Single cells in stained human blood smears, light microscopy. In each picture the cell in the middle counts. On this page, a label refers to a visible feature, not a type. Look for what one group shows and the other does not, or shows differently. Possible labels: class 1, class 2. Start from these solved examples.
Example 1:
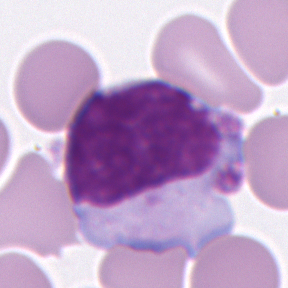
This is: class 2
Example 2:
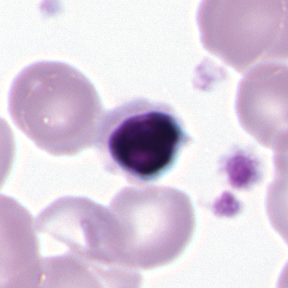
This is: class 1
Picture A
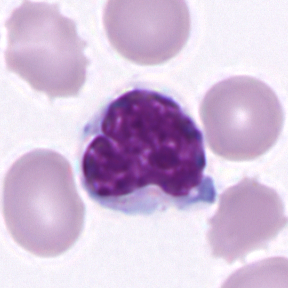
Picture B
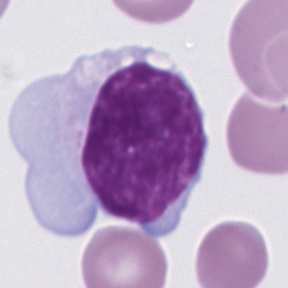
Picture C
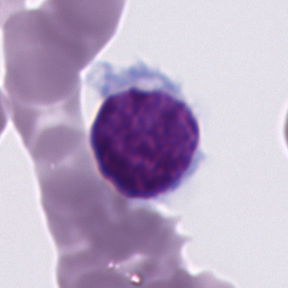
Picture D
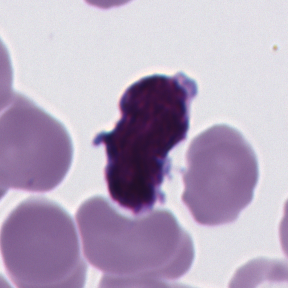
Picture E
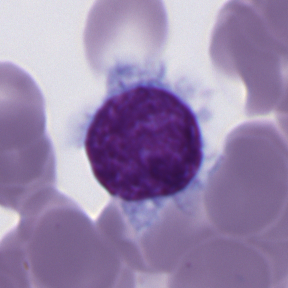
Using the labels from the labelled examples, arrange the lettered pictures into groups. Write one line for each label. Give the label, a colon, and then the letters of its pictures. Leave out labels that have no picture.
class 1: A, C, D, E
class 2: B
